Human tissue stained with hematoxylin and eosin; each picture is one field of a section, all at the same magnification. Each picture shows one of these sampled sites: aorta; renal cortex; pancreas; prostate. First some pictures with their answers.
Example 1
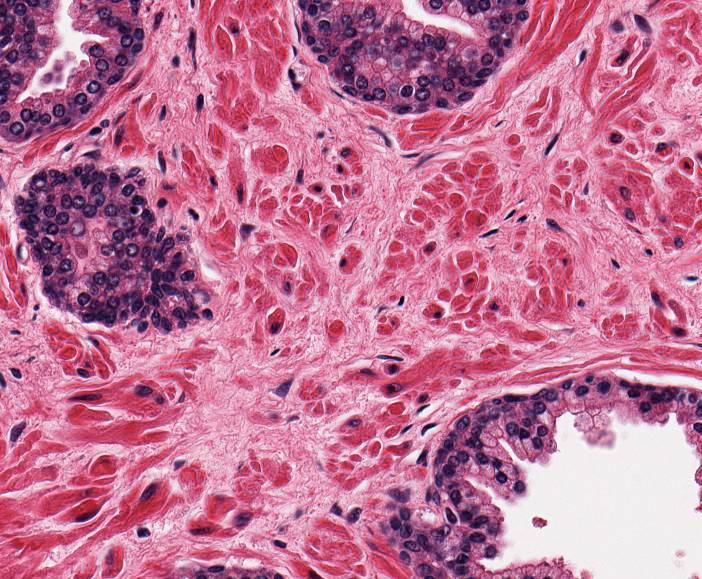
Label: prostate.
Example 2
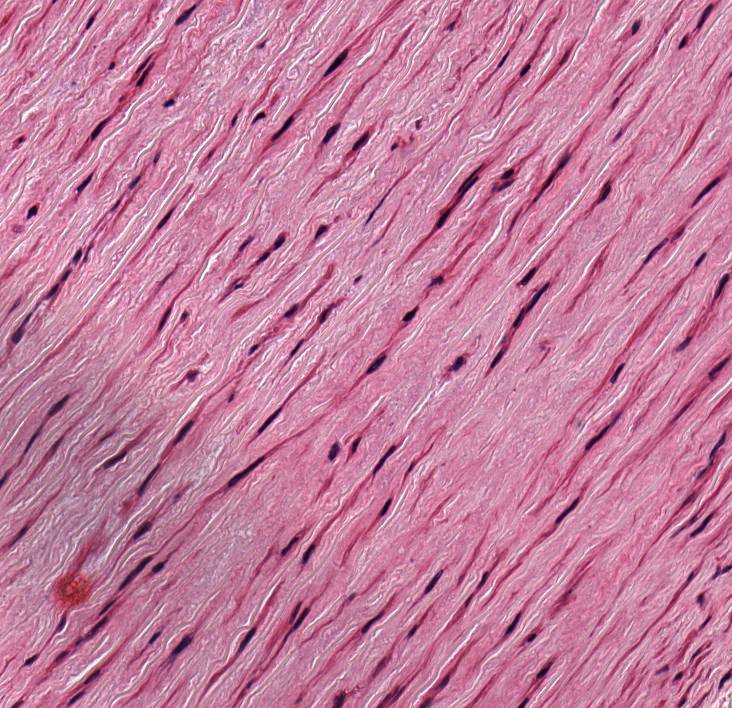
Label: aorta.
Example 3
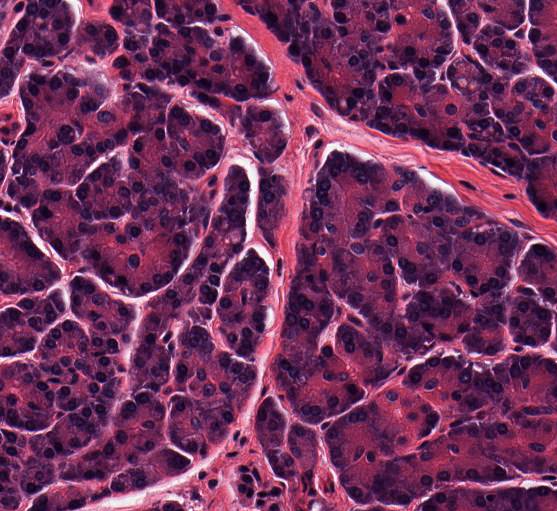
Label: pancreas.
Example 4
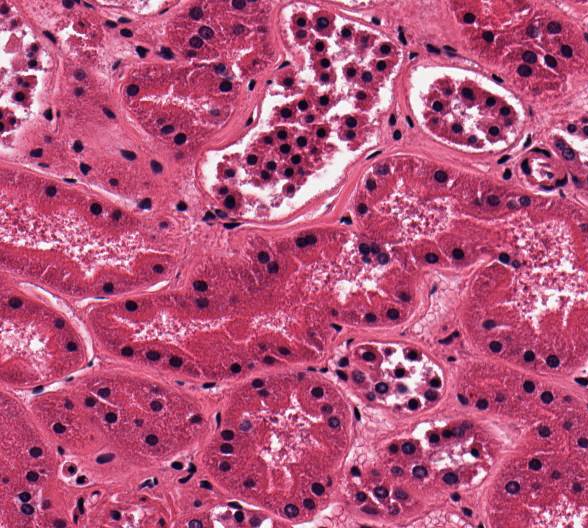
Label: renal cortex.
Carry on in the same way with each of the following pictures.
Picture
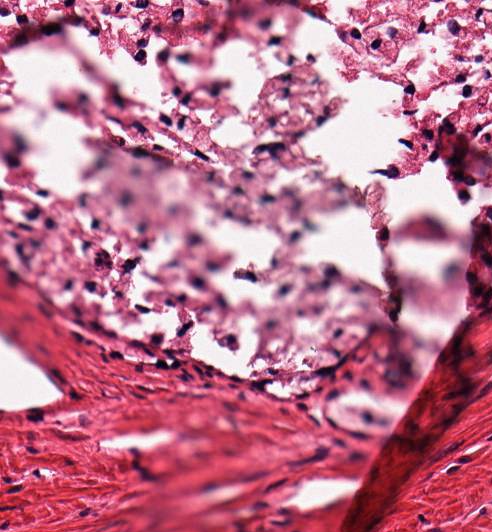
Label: prostate.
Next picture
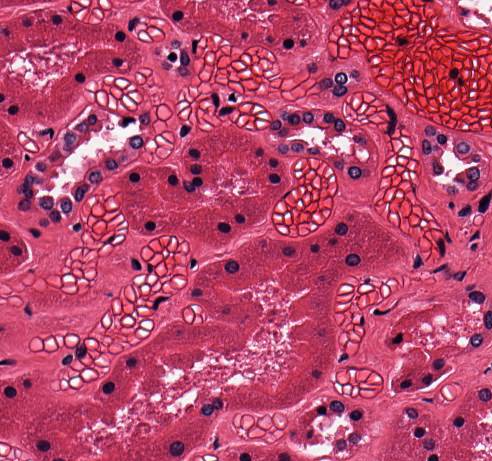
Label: renal cortex.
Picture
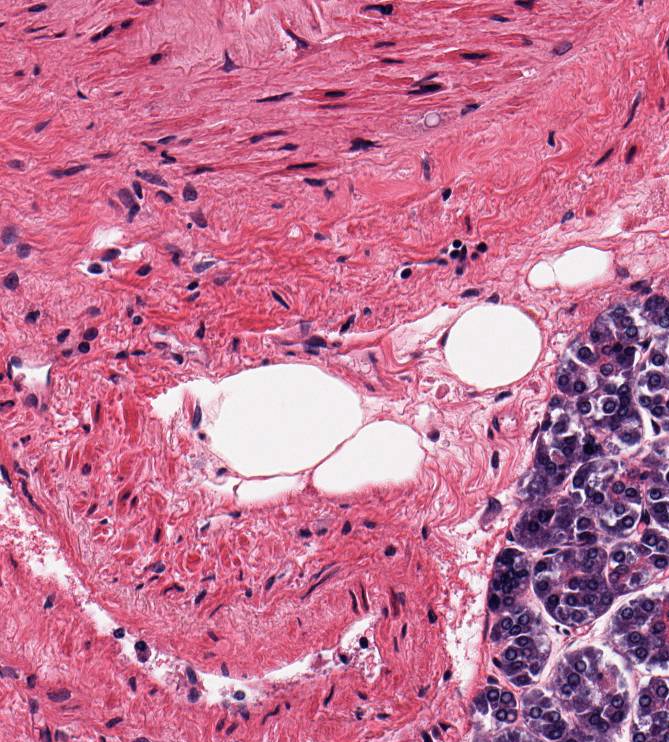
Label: pancreas.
